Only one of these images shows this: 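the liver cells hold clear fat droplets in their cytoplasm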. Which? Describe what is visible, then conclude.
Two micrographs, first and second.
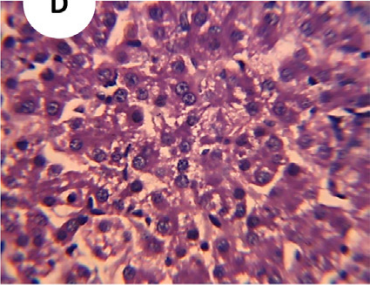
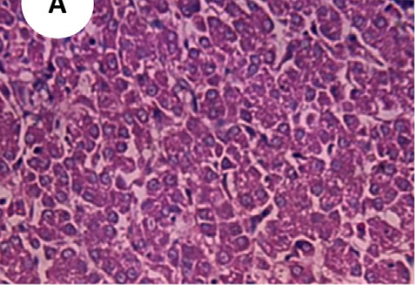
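First image: hepatocyte cytoplasm is pale and foamy with clear vacuoles. Second image: hepatocyte cytoplasm is dense and evenly purple without clear vacuoles.
Hence: the first image.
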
